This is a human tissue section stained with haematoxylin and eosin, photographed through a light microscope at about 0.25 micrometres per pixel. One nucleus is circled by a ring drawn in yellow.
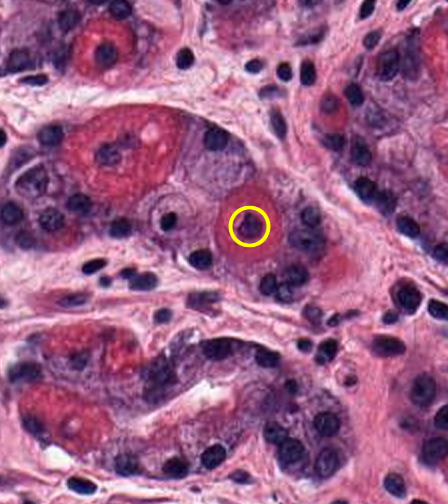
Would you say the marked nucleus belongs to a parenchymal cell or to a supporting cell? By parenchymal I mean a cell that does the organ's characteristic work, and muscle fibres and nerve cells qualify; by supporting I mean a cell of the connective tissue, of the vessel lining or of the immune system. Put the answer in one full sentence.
On this slide the marked nucleus belongs to a parenchymal cell, namely a parietal cell.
